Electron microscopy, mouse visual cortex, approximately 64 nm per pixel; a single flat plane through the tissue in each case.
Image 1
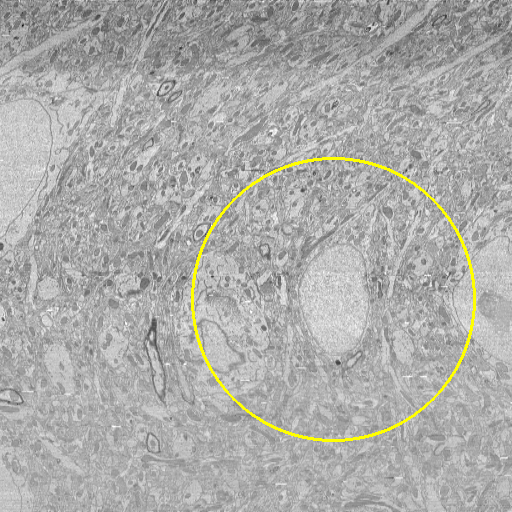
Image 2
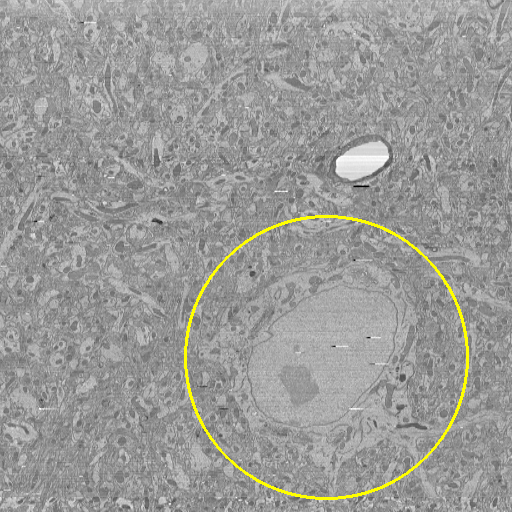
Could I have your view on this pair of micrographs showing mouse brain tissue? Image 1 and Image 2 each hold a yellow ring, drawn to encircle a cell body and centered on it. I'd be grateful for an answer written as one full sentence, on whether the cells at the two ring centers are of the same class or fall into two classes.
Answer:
The cells at the centers of the two rings fall into two classes.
